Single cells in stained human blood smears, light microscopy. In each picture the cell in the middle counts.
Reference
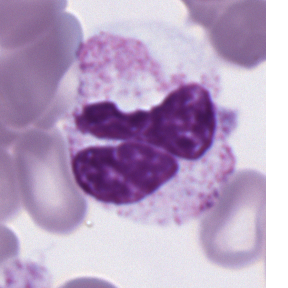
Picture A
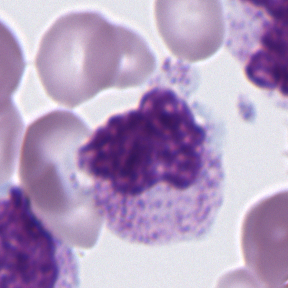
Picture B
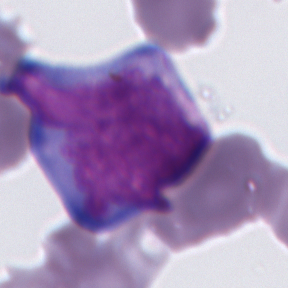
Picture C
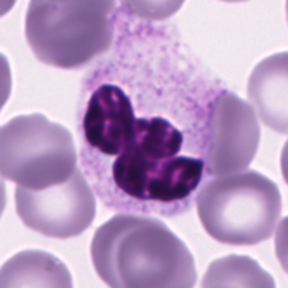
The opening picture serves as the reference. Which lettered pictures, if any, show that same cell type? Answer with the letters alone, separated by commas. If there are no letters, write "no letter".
A, C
